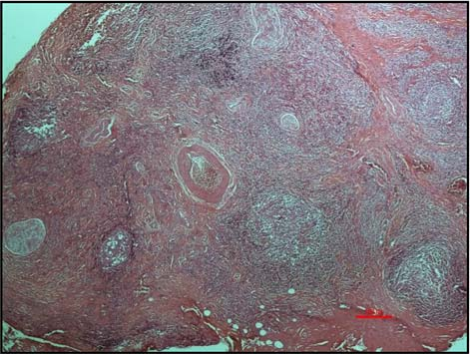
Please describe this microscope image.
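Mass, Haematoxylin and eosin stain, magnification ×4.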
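The follicles are rounded nodules with paler centres and darker purple, densely cellular rims. They are scattered across the section, with several near the lower and left edges. Between them lie bands of pink fibrous tissue and sheets of purple cells. A few rounded structures with concentric pink walls are also present within the tissue.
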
